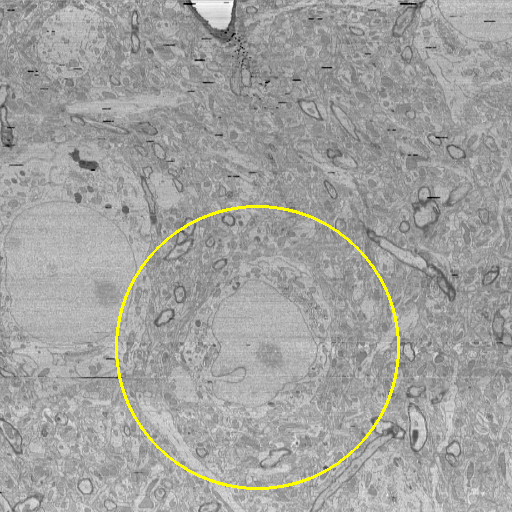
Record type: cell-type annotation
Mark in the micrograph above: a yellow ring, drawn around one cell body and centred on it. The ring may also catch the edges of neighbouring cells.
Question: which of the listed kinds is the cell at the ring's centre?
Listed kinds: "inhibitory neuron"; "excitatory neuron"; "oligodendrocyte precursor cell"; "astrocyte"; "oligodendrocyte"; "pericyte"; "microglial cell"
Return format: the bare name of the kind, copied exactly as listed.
inhibitory neuron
